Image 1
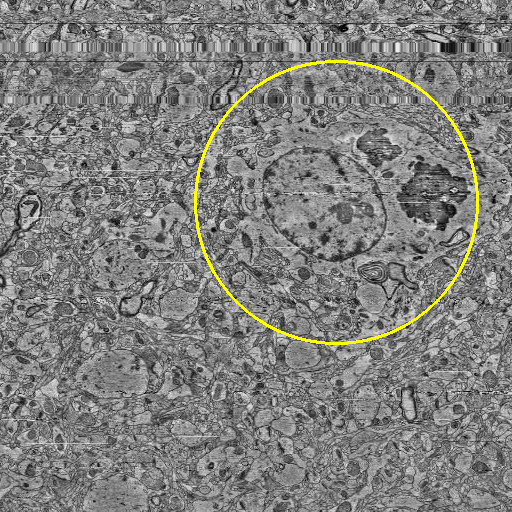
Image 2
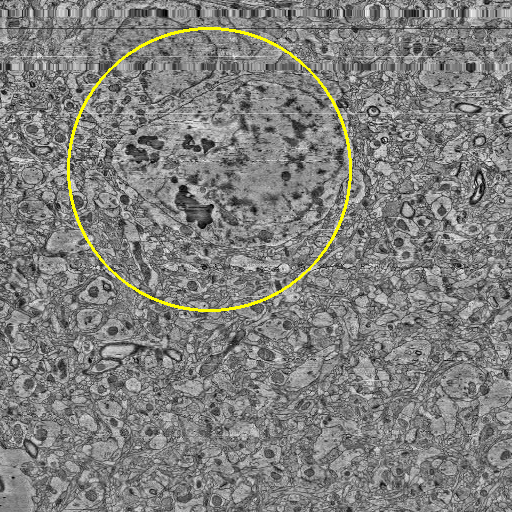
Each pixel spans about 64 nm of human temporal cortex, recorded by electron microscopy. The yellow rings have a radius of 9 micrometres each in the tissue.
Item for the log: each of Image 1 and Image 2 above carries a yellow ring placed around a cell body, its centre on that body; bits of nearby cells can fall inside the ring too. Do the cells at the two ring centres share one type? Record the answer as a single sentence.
No, the two cells at the ring centres in Image 1 and Image 2 are of two types.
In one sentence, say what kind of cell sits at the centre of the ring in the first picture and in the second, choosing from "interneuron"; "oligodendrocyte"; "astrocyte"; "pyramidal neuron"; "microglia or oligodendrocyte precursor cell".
The first picture's ringed cell is an astrocyte, while the second picture's is an interneuron.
